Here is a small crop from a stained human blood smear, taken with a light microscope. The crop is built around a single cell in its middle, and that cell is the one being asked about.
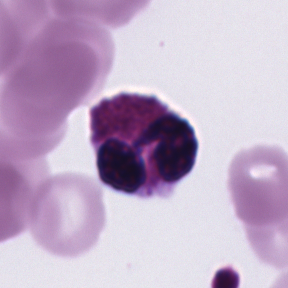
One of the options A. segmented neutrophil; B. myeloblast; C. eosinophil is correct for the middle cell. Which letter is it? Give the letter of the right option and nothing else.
C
